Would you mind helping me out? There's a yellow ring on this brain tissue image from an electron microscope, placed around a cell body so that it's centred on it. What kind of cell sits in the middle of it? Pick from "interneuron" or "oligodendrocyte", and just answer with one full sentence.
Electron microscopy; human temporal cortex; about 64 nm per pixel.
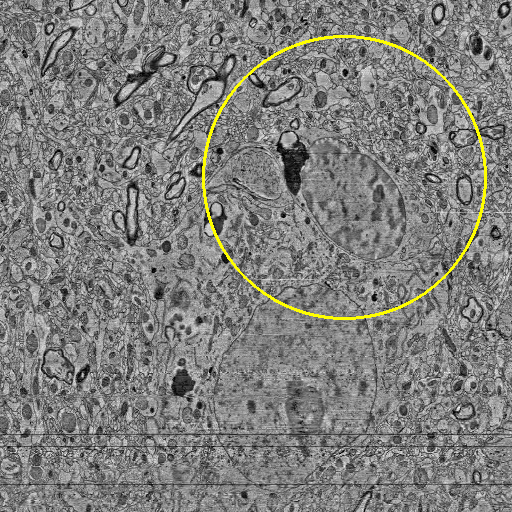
What sits in the middle of that yellow ring is an oligodendrocyte, from your choices.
